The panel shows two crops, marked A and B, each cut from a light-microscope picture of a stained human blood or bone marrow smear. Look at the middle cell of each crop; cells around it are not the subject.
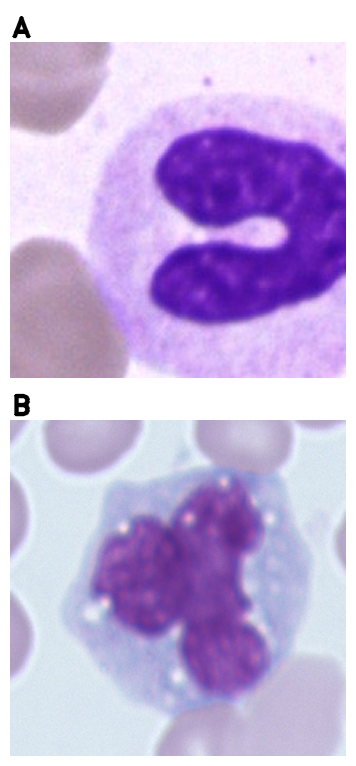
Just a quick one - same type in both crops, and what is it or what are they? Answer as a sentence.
No, a monocyte is depicted in crop B, whereas a band neutrophil is depicted in crop A.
